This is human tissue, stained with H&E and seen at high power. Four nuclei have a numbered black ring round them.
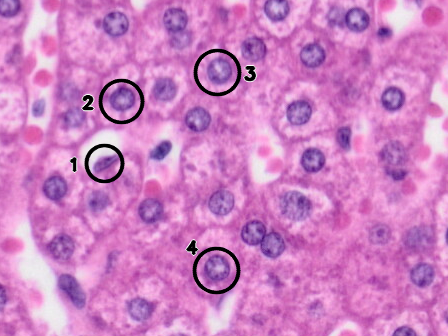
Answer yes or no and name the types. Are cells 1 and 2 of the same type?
No, what is marked as cell 1 is a Kupffer cell, and what is marked as cell 2 is a hepatocyte.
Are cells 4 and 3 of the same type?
Yes, cells 4 and 3 both qualify as hepatocytes.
